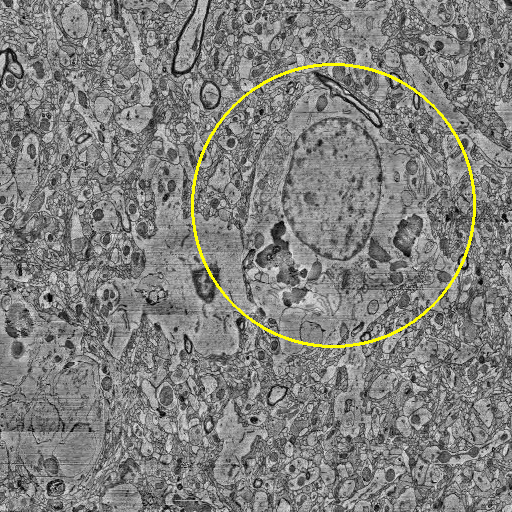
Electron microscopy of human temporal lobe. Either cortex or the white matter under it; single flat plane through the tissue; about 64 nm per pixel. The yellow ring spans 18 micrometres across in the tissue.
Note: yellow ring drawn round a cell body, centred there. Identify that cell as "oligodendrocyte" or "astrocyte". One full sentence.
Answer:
The cell in the middle of the ring is an astrocyte.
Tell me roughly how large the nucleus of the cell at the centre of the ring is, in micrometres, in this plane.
About 9 by 6 micrometers, in this plane.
